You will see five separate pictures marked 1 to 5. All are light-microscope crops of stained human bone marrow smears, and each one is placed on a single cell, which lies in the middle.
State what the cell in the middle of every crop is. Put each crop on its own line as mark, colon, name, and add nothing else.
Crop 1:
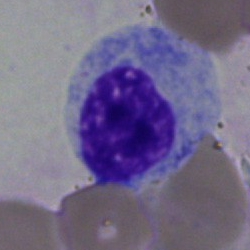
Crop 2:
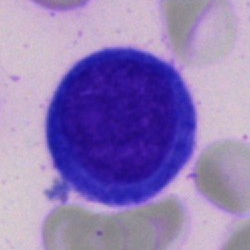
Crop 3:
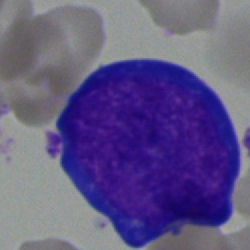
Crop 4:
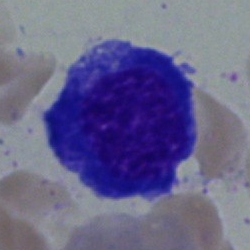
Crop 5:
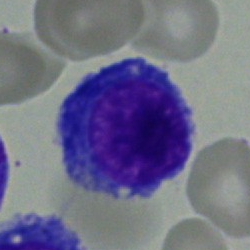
1: myelocyte
2: proerythroblast
3: proerythroblast
4: proerythroblast
5: proerythroblast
